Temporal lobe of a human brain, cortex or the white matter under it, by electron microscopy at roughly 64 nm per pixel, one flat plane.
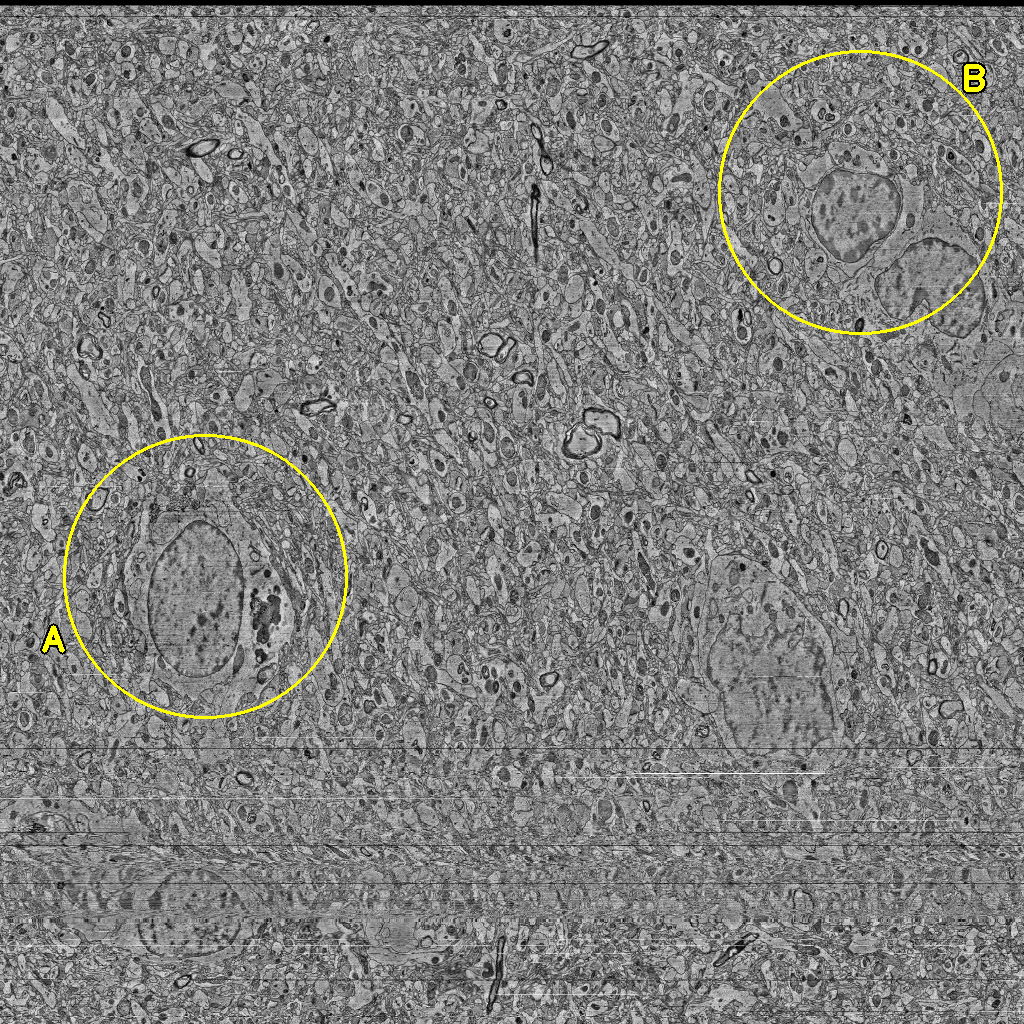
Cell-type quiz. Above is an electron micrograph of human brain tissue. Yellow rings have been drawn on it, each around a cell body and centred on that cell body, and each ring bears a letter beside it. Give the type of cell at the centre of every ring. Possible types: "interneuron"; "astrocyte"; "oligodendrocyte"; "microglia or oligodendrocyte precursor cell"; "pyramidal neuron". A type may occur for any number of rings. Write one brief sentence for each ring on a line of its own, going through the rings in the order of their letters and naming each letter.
Ring A is centred on the cell body of an astrocyte.
Ring B is centred on the cell body of a microglial cell or oligodendrocyte precursor cell.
